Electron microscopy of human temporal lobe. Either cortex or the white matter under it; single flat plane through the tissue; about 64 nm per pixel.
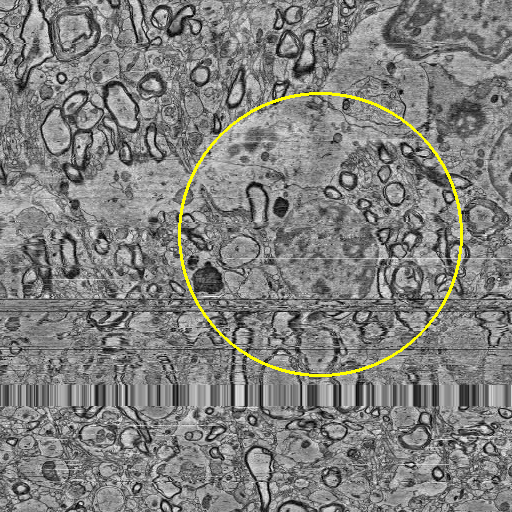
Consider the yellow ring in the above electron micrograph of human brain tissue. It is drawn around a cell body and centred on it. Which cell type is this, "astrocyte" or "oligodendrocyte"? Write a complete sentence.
The cell in question is an oligodendrocyte.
